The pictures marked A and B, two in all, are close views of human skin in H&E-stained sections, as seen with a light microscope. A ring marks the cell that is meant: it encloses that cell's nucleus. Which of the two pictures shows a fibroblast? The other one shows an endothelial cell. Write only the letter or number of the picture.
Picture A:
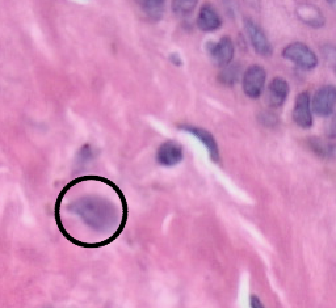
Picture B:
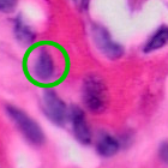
A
